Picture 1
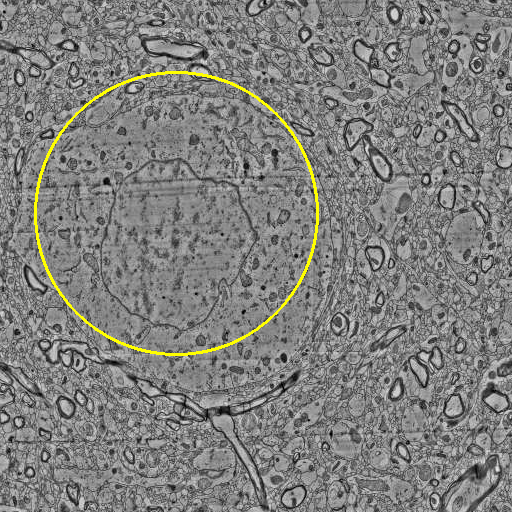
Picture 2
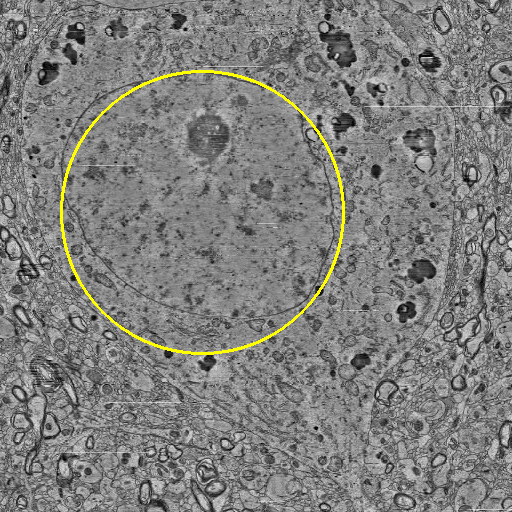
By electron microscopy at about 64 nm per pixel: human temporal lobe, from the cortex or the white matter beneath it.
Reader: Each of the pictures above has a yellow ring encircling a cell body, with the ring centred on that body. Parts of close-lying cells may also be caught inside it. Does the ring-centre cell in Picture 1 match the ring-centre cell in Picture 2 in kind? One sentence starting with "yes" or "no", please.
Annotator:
Yes, Picture 1 and Picture 2 show ring-centre cells of a single kind.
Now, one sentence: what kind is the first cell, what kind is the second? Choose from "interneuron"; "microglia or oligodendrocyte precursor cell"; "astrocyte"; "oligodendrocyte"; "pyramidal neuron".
Both cells are the same kind, each one being a pyramidal neuron.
